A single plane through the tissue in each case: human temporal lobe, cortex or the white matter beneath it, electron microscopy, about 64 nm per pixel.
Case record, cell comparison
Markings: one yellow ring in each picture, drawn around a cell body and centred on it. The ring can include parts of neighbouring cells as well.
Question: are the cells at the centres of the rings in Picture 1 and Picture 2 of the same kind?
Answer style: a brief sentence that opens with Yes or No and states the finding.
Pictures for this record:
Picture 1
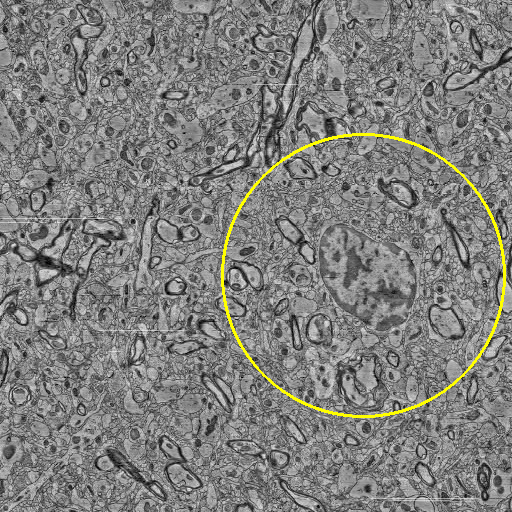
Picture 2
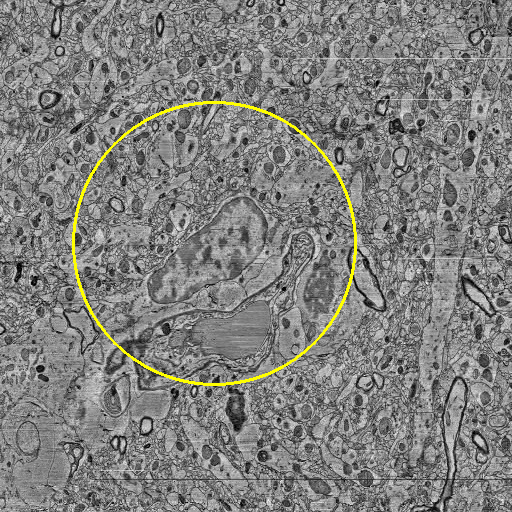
Yes, the cells in Picture 1 and Picture 2 are of the same kind.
